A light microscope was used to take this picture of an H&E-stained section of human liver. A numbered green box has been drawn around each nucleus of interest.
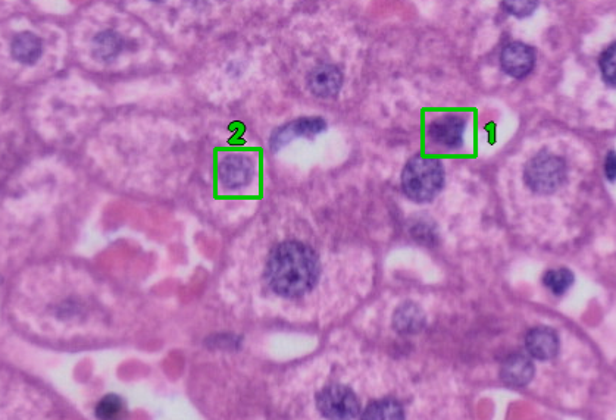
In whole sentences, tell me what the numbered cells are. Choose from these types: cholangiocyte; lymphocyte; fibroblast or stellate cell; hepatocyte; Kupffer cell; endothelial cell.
Cell 1 is an endothelial cell. Cell 2 is a hepatocyte.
